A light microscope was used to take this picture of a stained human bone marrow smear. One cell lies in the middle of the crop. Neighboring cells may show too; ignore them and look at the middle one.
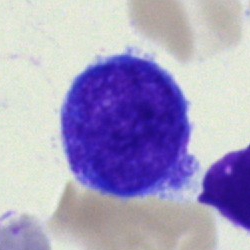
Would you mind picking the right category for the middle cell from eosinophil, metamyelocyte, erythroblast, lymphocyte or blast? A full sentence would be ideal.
Among the cells in view, the one in the middle is a blast.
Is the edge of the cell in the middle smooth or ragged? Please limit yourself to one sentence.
The margin of this cell is irregular, showing raggedness or projections instead of smoothness.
